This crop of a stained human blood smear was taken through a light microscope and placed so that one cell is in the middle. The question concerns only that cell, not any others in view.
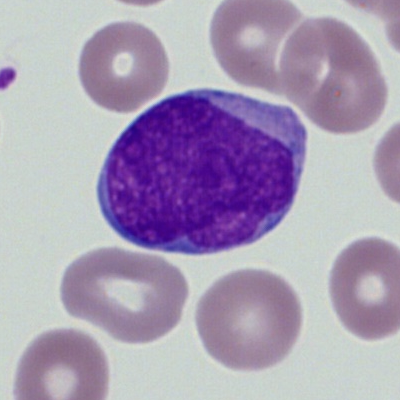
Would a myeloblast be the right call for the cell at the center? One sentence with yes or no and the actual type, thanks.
Yes, the centre of the crop holds a myeloblast.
